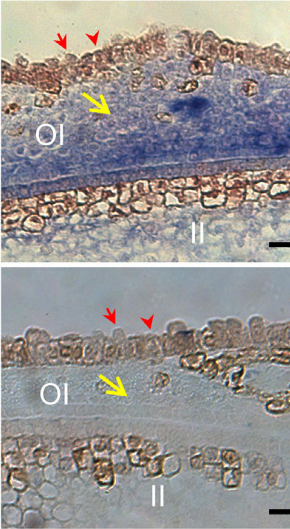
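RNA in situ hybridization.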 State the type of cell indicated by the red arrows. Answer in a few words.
Fibre cells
